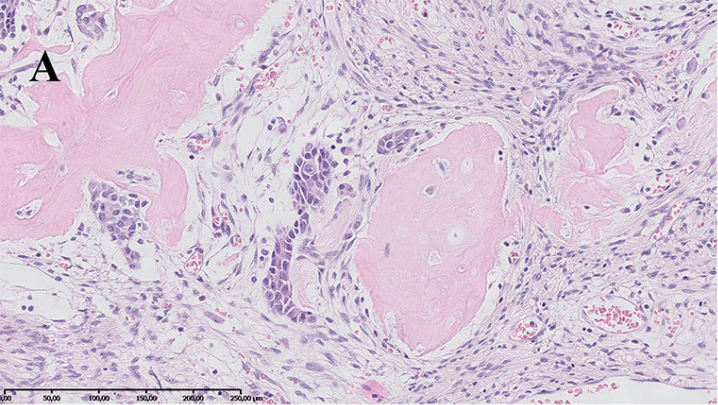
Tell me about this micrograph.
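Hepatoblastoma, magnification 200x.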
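Irregular islands of homogeneous pink osteoid, some containing cells in small spaces, lie in a loose primitive mesenchyme of spindle-shaped cells with elongated nuclei and small blood vessels full of red cells. Between them are small nests and cords of embryonal epithelial type cells with crowded dark nuclei and scant cytoplasm.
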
